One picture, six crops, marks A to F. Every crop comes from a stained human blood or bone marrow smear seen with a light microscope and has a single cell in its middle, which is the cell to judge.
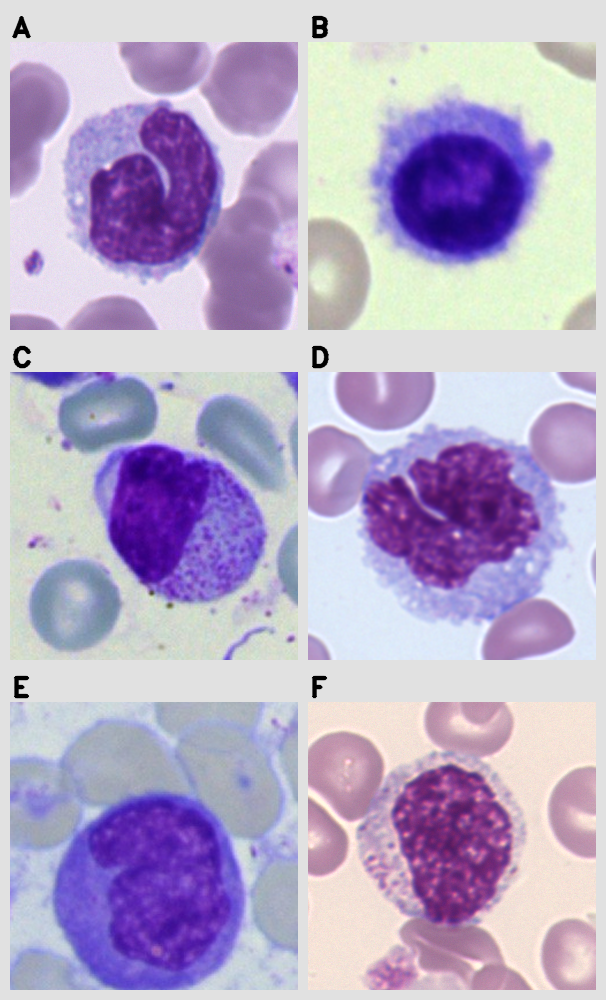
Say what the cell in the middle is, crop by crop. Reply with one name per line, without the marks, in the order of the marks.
monocyte
hairy cell
myelocyte
monocyte
monocyte
myelocyte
